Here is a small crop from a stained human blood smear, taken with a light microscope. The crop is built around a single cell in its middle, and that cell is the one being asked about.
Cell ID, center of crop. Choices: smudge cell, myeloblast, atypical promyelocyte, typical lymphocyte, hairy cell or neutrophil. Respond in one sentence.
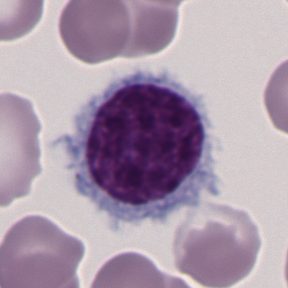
By classification, the middle cell of this crop is a hairy cell.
